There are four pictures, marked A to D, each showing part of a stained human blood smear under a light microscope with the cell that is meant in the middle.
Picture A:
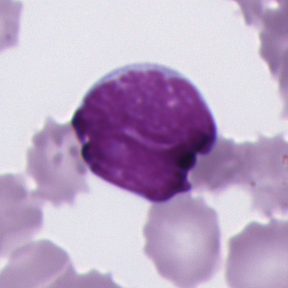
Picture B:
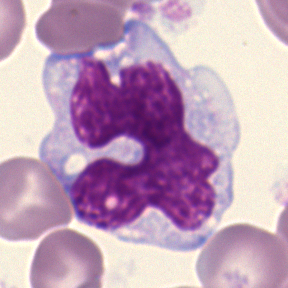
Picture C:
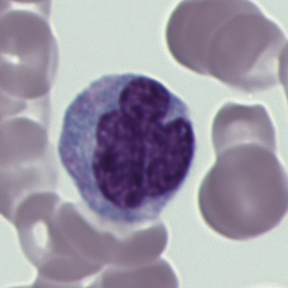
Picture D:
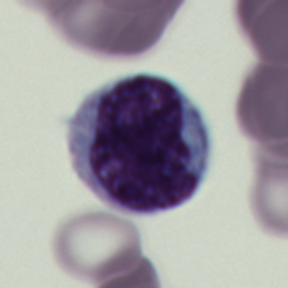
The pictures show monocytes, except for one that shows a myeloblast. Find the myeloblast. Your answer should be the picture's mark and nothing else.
A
